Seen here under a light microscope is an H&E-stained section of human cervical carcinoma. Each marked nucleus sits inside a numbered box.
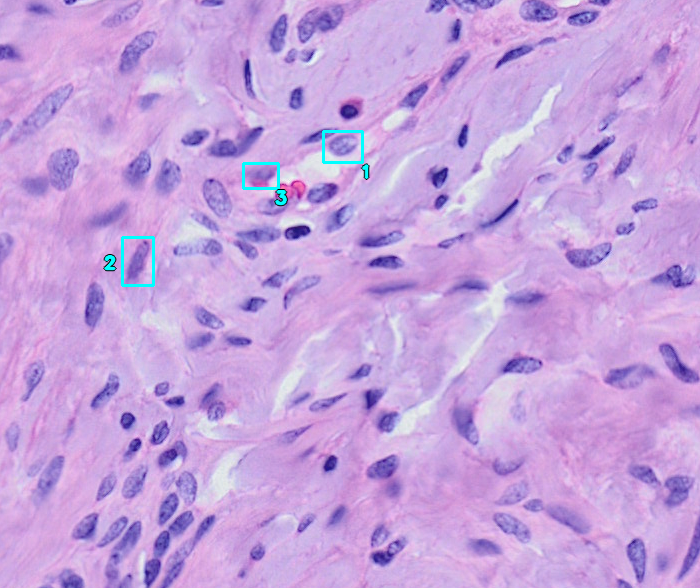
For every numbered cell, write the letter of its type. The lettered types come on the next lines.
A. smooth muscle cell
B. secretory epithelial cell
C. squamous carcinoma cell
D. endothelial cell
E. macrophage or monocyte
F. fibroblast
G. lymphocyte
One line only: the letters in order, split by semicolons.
D; A; D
